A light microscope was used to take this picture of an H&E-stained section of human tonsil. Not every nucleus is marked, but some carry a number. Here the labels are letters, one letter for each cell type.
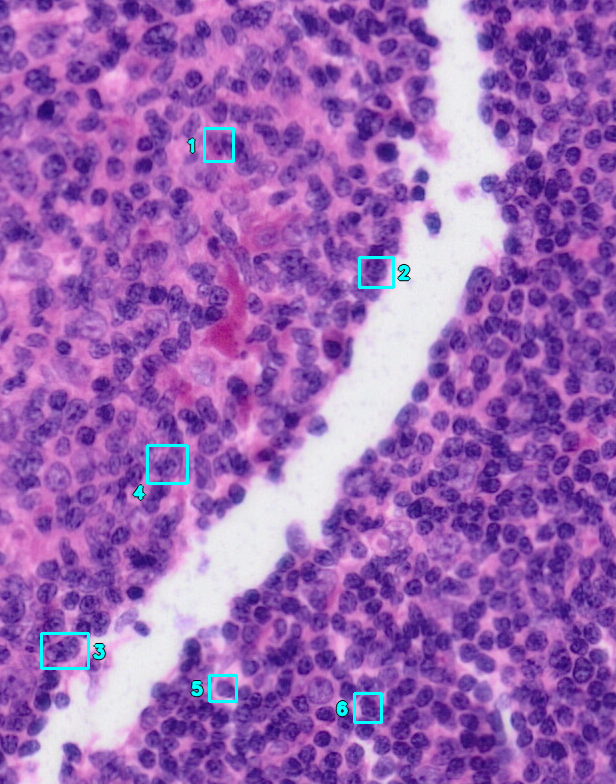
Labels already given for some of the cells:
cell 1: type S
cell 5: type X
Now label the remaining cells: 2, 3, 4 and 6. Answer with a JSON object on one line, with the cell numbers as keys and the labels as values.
{"2": "type S", "3": "type S", "4": "type S", "6": "type X"}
